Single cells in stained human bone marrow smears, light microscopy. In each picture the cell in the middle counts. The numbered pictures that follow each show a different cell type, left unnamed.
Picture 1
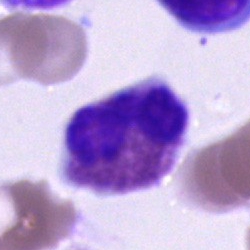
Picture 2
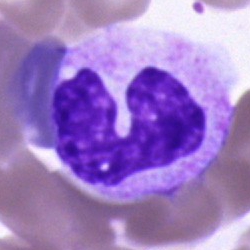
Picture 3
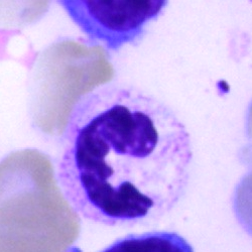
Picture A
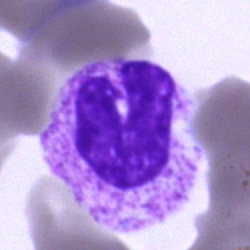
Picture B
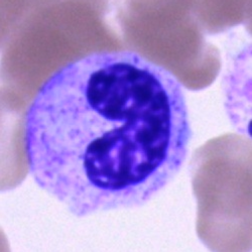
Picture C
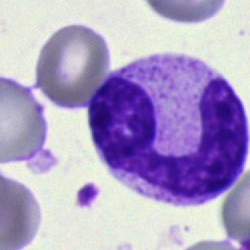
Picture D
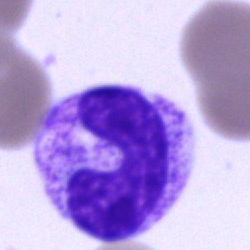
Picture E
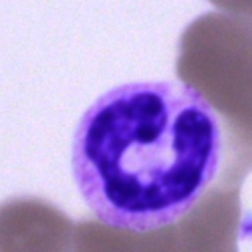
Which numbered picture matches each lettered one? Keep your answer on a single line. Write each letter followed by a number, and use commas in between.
A 2, B 2, C 2, D 2, E 3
